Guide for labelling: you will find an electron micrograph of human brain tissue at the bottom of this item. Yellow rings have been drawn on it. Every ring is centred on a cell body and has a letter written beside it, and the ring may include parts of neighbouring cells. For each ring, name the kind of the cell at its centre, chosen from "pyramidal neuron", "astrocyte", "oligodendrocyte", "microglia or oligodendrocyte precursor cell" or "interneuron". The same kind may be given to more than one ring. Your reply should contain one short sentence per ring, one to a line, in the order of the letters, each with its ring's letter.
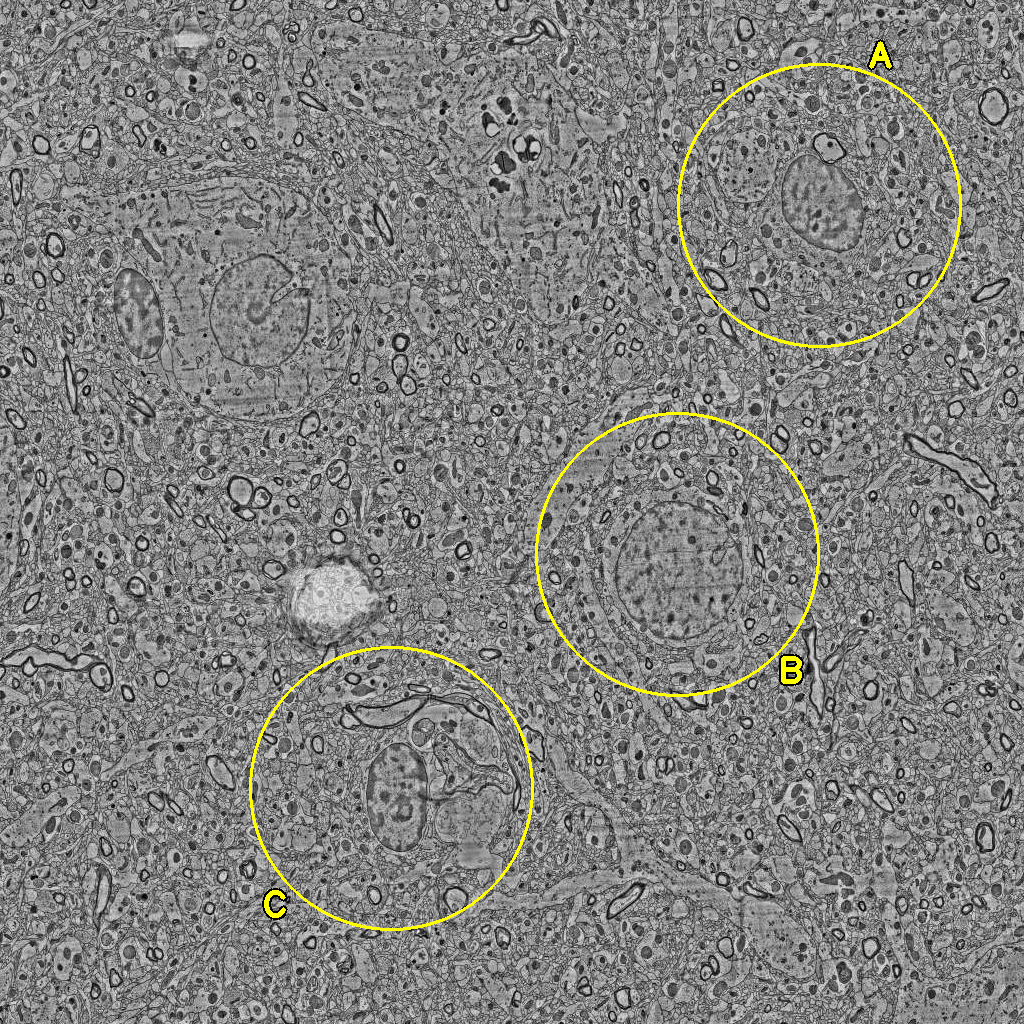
Ring A is centred on the body of an oligodendrocyte.
Ring B is centred on the body of an interneuron.
Ring C is centred on the body of a microglial cell or oligodendrocyte precursor cell.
